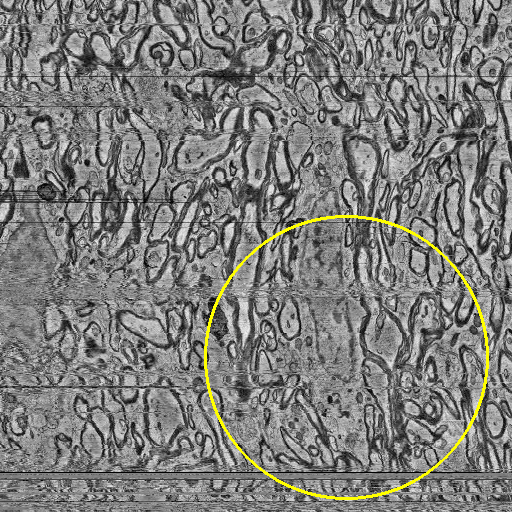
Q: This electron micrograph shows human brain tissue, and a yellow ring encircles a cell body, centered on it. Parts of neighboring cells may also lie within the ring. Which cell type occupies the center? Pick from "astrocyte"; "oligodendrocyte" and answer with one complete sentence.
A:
What sits at the ring's center in this micrograph is an astrocyte, among those choices.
